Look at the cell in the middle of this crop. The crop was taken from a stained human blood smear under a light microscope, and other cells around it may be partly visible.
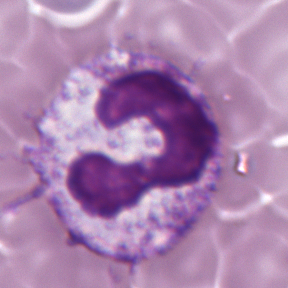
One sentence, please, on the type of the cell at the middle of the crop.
The cell centred in this crop is categorized as a segmented neutrophil.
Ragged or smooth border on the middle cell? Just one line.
As for its outline, the cell is irregular, ragged or drawn into projections.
